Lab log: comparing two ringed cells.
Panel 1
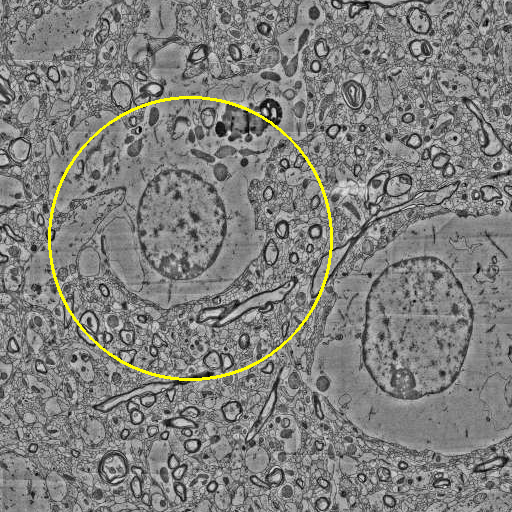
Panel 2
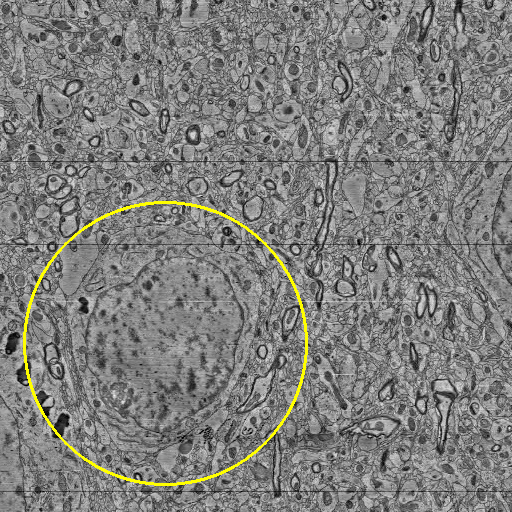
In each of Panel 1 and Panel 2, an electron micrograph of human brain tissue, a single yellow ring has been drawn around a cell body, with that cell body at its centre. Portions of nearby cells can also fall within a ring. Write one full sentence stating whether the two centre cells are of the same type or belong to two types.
The cells at the ring centres in Panel 1 and Panel 2 belong to two types.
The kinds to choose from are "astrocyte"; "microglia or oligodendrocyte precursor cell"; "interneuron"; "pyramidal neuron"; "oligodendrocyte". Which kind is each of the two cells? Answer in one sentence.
Of the two, the first cell is an astrocyte and the second cell is an interneuron.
